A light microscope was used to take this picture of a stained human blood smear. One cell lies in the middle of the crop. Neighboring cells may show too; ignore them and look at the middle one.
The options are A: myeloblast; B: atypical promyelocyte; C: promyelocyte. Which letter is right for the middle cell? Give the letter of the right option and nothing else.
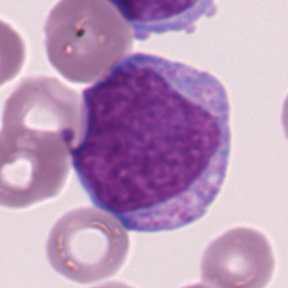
C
